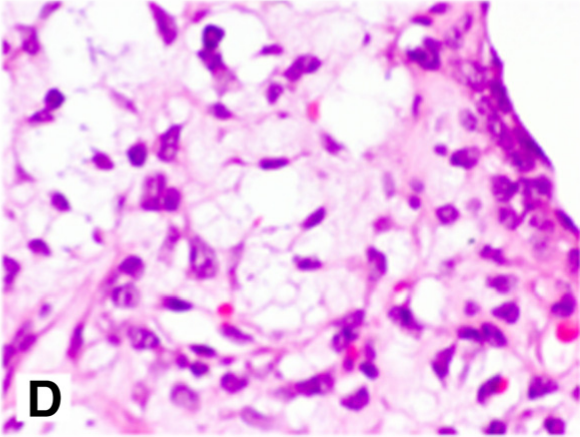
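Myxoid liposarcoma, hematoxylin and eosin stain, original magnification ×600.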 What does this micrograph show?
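Several cells have cytoplasm filled with multiple clear, round vacuoles of varying size, which give them a bubbly look. Their dark purple nuclei are pushed to the edge and indented by the vacuoles. Between these cells lie smaller cells with oval to spindle-shaped, darkly stained nuclei and scant cytoplasm. A few small bright red red blood cells are scattered through the field, and along the right edge lies a denser band of crowded dark nuclei.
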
